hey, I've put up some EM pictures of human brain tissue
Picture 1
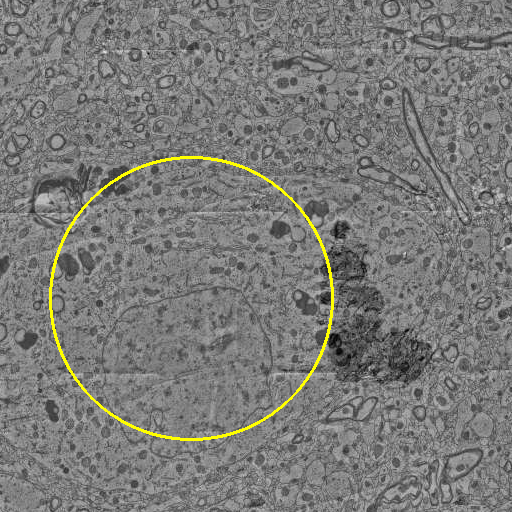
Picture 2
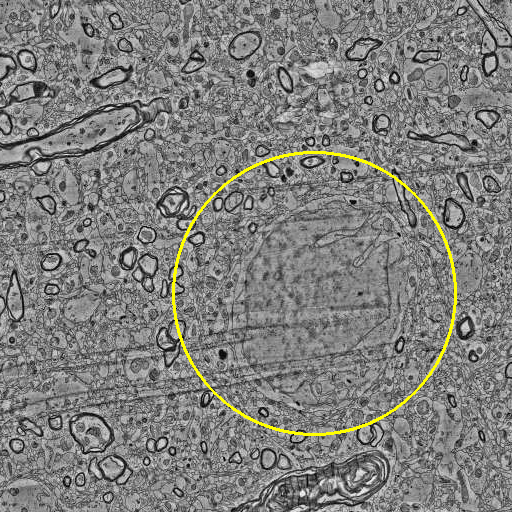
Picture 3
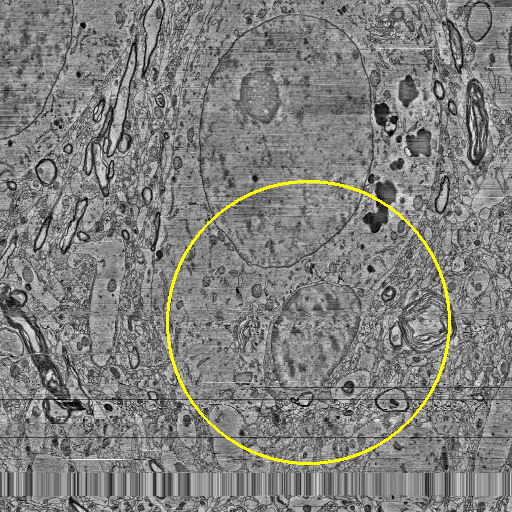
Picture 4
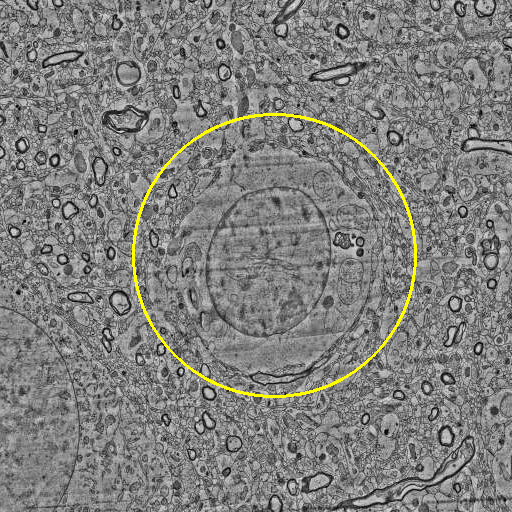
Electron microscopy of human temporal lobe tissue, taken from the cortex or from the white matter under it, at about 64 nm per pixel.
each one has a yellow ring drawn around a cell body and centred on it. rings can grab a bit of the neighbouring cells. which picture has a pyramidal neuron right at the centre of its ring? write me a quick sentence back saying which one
It's Picture 1.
